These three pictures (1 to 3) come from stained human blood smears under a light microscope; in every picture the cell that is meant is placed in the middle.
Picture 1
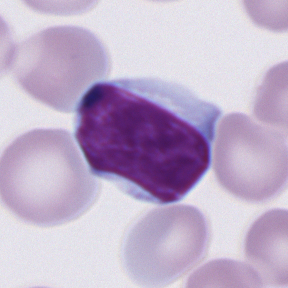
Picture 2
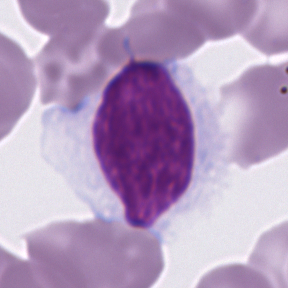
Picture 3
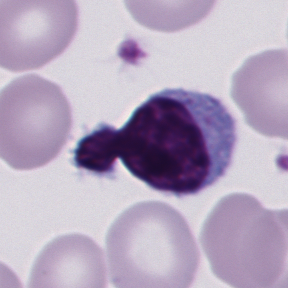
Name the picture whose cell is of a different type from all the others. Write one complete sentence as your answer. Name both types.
Unlike the rest, which show typical lymphocytes, picture 2 shows a hairy cell.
